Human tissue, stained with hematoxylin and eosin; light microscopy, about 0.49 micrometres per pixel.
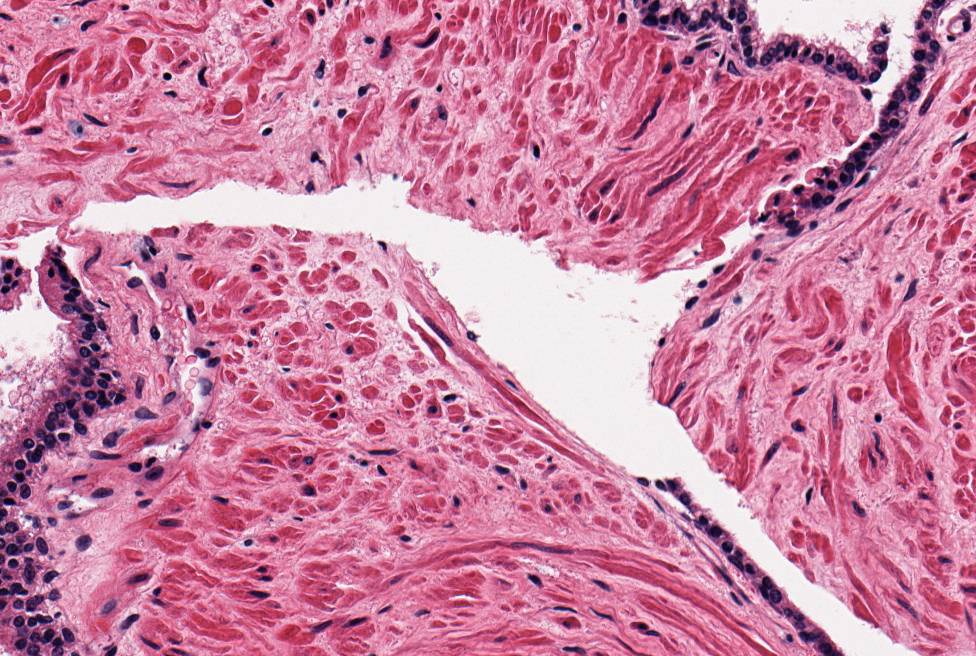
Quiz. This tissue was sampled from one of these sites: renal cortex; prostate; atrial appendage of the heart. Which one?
prostate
